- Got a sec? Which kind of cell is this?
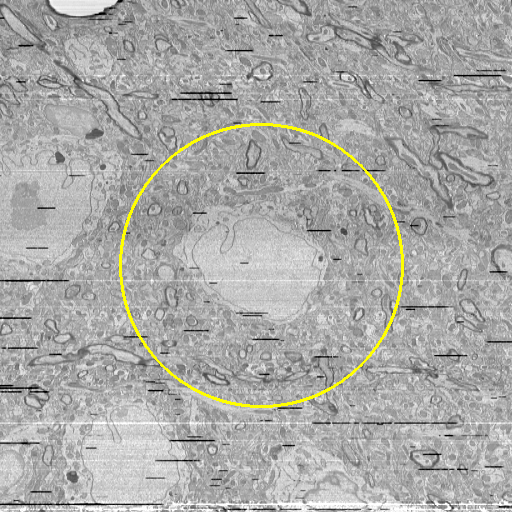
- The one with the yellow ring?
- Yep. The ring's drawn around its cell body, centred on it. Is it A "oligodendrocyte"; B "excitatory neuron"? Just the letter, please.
B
